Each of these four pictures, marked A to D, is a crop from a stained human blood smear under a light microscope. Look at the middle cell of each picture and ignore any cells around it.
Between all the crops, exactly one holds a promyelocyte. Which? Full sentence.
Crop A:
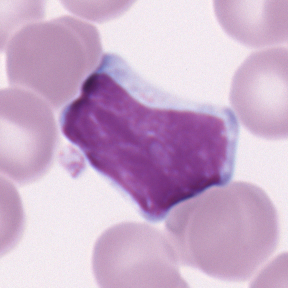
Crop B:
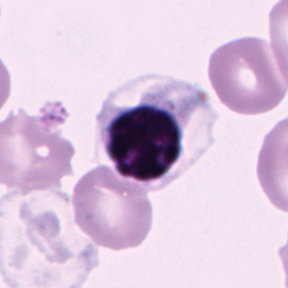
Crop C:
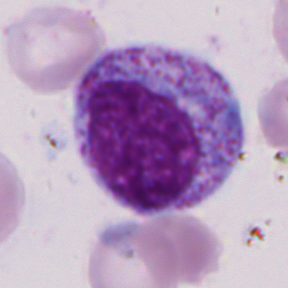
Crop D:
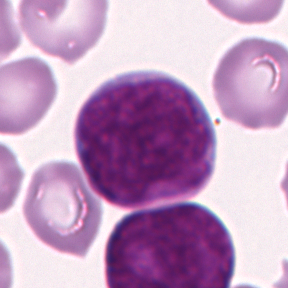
The requested cell, a promyelocyte, is the one in crop C.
